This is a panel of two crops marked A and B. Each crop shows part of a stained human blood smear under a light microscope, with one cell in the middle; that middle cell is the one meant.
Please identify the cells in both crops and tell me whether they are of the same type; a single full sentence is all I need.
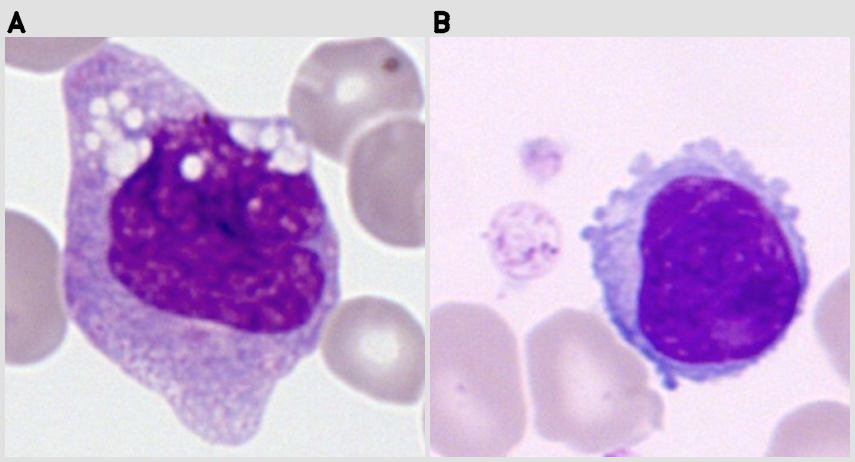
No, the correct reading is a monocyte in crop A and a lymphocyte in crop B.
